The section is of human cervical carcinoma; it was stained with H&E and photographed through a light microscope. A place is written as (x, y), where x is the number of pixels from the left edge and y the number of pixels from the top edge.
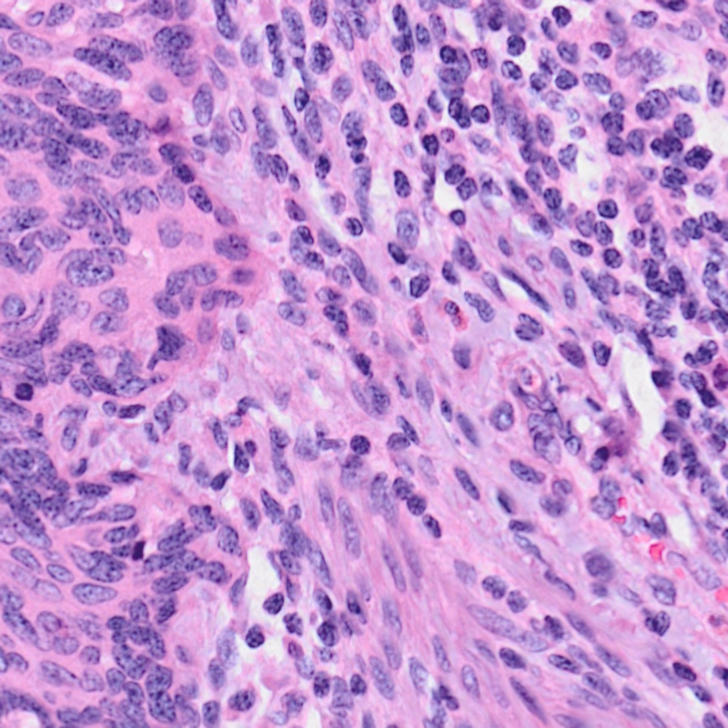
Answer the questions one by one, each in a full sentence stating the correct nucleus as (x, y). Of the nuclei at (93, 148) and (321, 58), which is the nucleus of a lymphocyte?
The nucleus of a lymphocyte is the one found at (321, 58), not the other.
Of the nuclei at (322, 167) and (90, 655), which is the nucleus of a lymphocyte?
The nucleus that belongs to a lymphocyte is located at (322, 167).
